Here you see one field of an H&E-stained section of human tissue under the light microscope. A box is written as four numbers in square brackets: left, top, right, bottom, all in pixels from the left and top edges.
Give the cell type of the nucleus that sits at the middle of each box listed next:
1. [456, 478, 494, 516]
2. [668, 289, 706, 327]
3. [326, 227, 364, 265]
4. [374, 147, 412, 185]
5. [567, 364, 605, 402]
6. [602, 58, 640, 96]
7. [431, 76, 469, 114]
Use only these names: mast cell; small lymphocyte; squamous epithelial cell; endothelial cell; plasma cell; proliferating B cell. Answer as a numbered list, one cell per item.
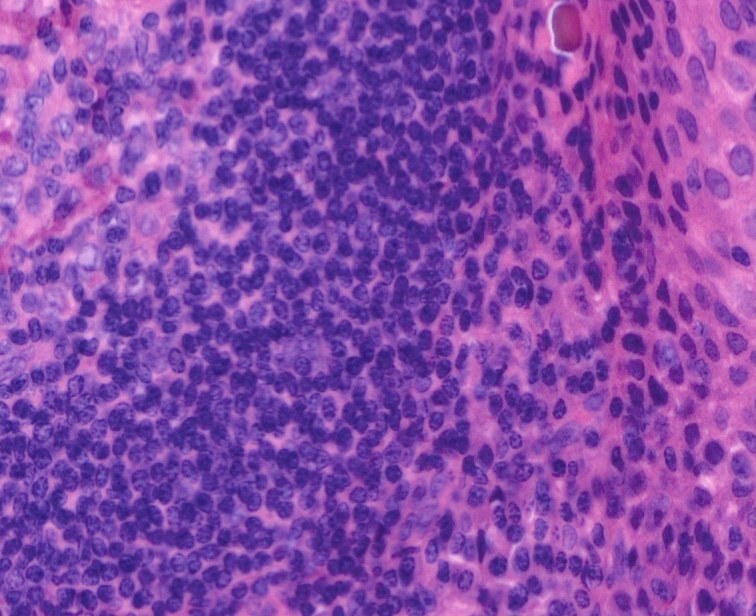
1. plasma cell
2. squamous epithelial cell
3. small lymphocyte
4. small lymphocyte
5. plasma cell
6. squamous epithelial cell
7. small lymphocyte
